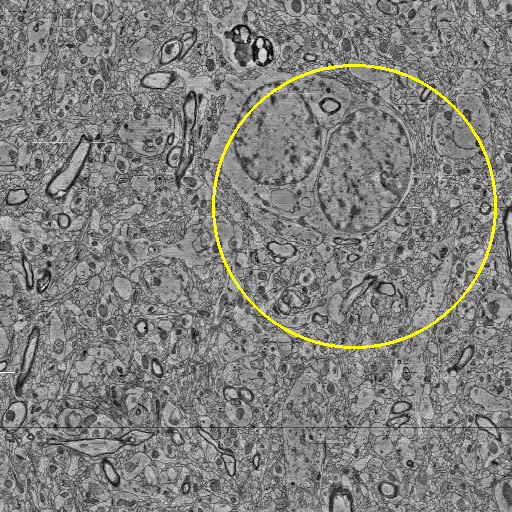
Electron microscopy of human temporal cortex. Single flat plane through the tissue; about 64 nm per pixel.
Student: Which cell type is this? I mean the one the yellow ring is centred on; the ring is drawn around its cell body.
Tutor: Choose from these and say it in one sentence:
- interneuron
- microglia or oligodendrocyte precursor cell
The cell the ring is centred on is a microglial cell or oligodendrocyte precursor cell.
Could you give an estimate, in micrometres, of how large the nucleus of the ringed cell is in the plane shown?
Approximately 8 x 6 micrometres in this plane.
